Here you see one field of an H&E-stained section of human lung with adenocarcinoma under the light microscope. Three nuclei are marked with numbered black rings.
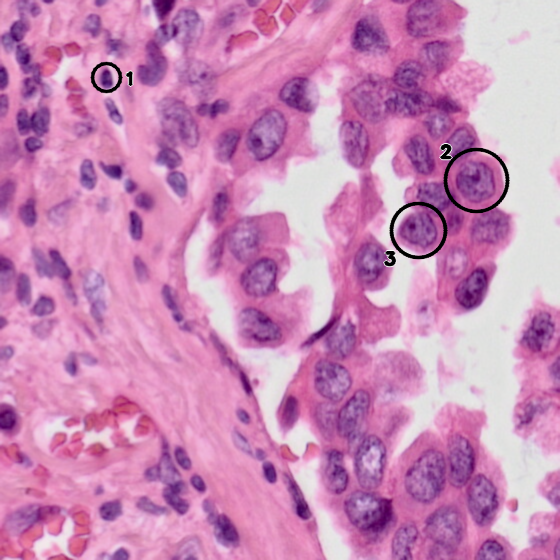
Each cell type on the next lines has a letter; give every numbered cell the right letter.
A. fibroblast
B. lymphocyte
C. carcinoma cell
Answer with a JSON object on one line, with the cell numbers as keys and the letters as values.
{"1": "B", "2": "C", "3": "C"}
